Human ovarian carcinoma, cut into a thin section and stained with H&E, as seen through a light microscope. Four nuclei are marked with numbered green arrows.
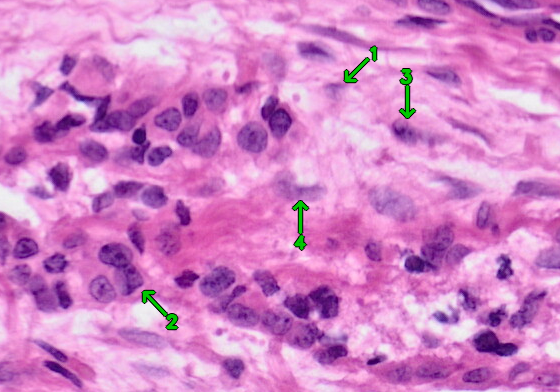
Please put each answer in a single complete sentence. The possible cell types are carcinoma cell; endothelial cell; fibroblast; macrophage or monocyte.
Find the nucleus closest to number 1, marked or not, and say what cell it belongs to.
It is a fibroblast whose nucleus is nearest to number 1.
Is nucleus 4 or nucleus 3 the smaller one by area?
Number 3 is smaller, since number 4 takes up about 2 times as much area.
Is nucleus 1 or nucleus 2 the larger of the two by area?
Number 2 is larger; its area is about 2.5 times that of number 1.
